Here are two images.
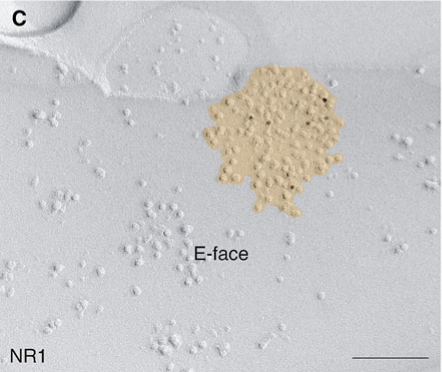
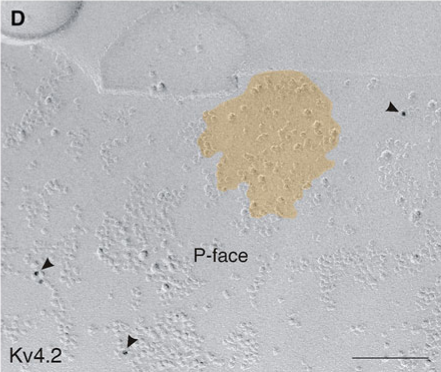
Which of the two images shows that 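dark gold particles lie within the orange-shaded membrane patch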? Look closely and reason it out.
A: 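Second image: the orange patch has no dark gold dots; the few dots lie outside it. First image: several small dark dots are scattered among the particles inside the orange patch. So: the first image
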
